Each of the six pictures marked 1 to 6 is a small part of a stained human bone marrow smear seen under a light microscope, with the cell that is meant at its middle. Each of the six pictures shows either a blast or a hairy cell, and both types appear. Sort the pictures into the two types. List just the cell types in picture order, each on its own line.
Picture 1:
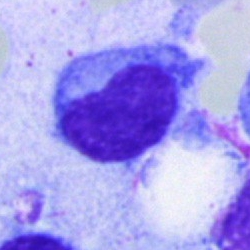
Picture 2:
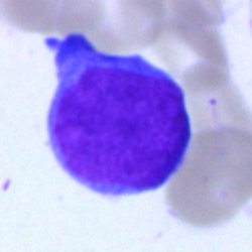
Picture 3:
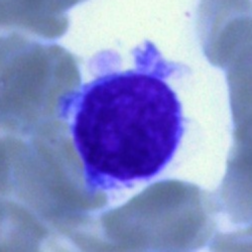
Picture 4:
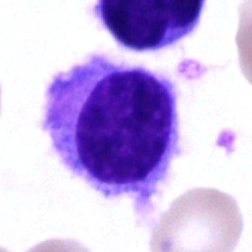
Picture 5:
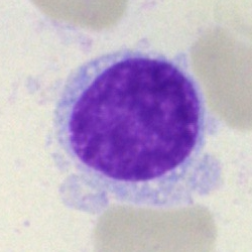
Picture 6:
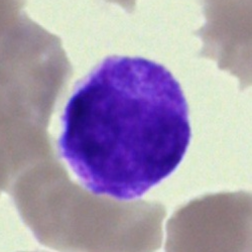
hairy cell
blast
hairy cell
hairy cell
hairy cell
blast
